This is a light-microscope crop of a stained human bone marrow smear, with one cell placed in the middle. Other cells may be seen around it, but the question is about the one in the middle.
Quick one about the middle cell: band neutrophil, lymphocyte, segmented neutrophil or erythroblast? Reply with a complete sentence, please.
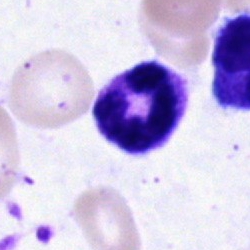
Centred in the crop is a segmented neutrophil.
